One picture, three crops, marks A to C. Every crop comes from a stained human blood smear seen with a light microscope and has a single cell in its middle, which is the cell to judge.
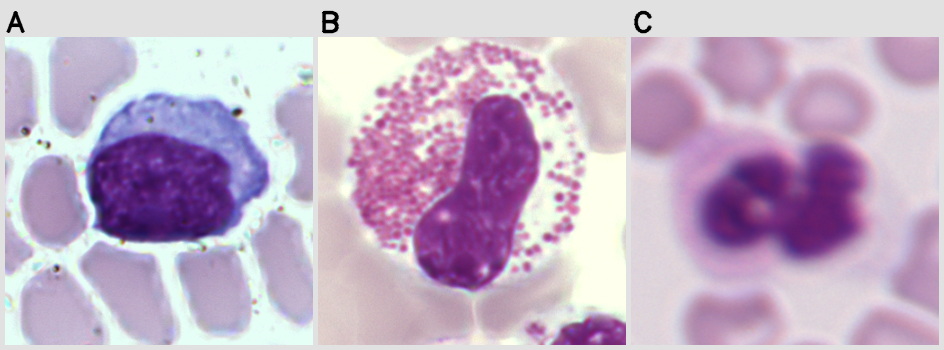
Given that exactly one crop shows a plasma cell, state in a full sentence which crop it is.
Among all the crops given here, the one with a plasma cell is crop A.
